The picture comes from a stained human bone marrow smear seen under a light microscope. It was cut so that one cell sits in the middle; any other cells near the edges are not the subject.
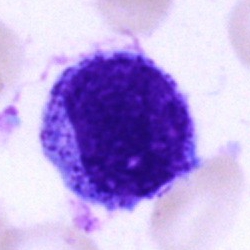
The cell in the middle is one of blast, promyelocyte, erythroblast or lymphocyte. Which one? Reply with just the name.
promyelocyte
